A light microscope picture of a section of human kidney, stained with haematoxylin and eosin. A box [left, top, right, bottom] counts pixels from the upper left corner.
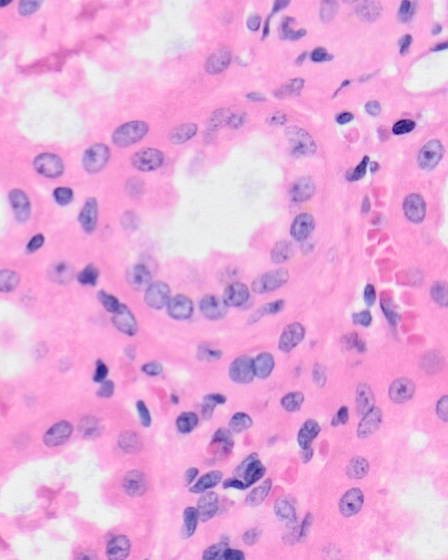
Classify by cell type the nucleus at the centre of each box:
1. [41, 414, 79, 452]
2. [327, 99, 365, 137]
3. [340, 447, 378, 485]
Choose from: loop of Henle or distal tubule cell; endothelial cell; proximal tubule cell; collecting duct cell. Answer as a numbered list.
1. proximal tubule cell
2. endothelial cell
3. proximal tubule cell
